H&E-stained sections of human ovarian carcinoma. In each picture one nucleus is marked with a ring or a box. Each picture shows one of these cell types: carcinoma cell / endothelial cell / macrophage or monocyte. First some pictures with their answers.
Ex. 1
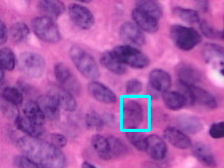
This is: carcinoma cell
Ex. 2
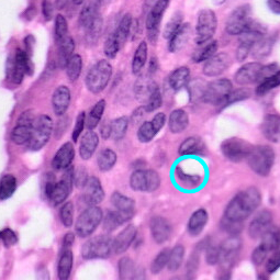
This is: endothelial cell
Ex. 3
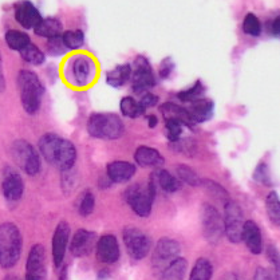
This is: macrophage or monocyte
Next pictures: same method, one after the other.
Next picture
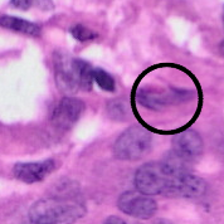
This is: endothelial cell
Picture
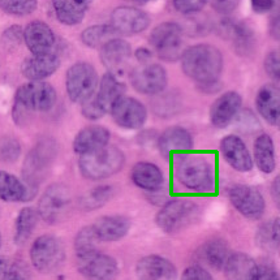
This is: carcinoma cell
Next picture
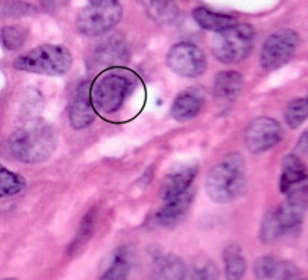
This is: carcinoma cell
